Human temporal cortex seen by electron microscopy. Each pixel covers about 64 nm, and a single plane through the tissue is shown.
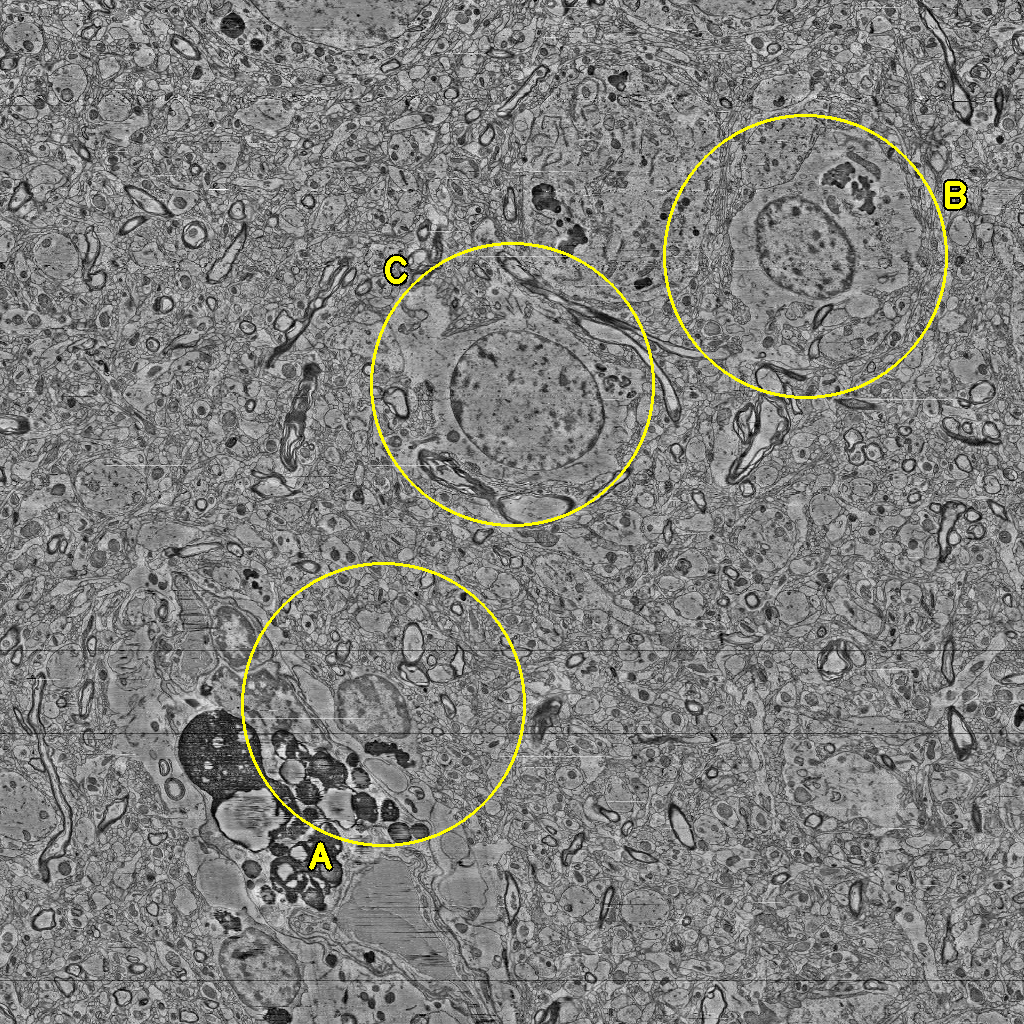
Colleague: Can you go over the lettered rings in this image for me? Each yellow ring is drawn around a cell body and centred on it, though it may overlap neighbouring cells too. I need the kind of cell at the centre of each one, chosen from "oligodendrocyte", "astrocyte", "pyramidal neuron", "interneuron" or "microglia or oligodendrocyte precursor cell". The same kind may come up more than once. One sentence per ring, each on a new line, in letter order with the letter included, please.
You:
Ring A marks the cell body of an oligodendrocyte.
Ring B marks the cell body of an astrocyte.
Ring C marks the cell body of an astrocyte.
